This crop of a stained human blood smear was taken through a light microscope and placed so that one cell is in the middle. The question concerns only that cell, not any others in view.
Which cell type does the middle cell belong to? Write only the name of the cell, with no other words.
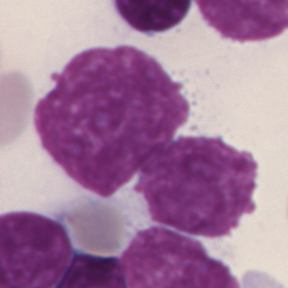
myeloblast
